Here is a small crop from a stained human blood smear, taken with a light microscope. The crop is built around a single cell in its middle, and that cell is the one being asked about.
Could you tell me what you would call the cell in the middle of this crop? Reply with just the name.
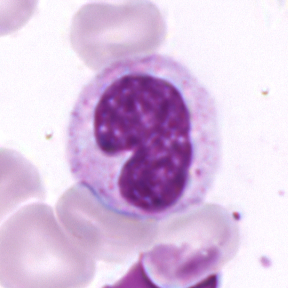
band neutrophil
